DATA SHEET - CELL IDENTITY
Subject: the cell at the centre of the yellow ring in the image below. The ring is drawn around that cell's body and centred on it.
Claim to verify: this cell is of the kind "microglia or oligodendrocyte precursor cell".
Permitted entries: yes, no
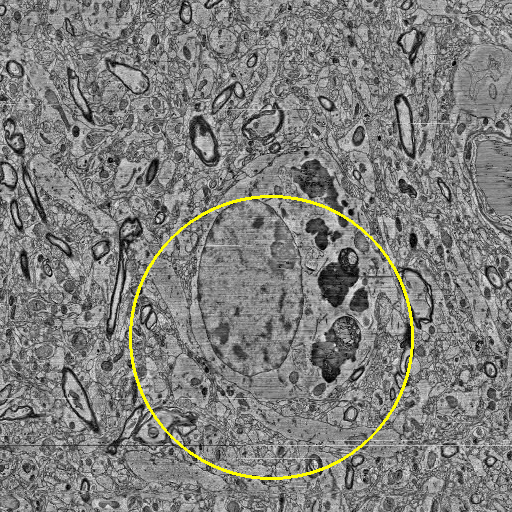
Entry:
no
